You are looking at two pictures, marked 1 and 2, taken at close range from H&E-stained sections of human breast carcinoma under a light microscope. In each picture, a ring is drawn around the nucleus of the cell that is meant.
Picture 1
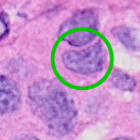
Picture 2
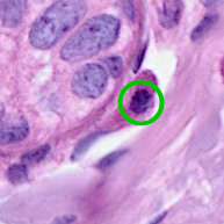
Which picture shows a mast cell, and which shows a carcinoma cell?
1: carcinoma cell
2: mast cell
